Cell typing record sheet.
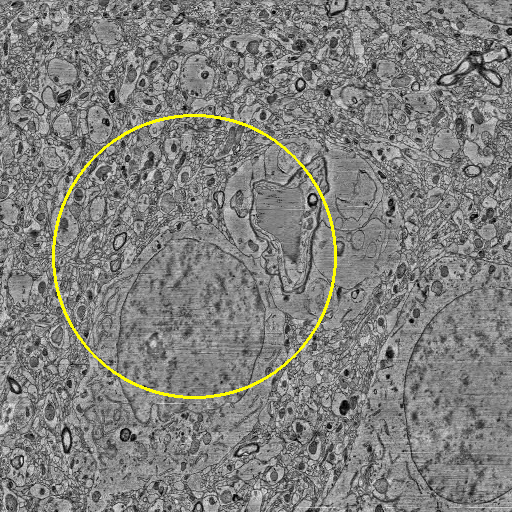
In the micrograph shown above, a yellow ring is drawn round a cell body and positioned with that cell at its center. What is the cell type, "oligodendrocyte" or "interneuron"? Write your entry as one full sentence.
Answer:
The cell body at the center of the ring belongs to an interneuron.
